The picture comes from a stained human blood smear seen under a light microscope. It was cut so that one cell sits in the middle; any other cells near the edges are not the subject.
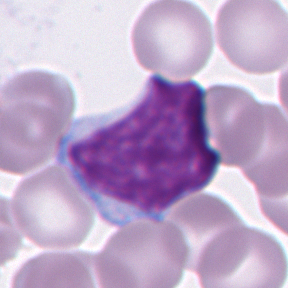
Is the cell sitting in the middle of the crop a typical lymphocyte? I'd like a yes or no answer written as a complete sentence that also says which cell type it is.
Yes, as for the central cell, it is a typical lymphocyte.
